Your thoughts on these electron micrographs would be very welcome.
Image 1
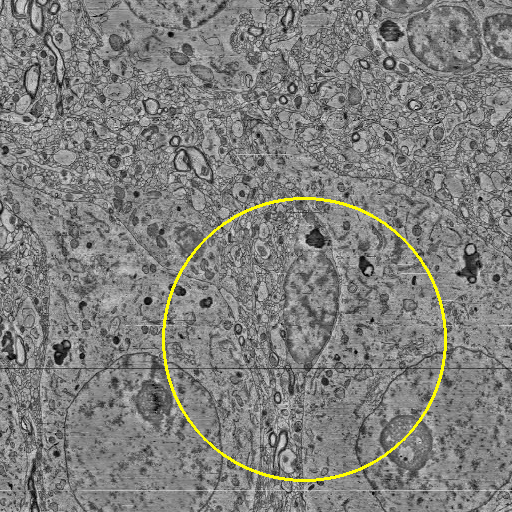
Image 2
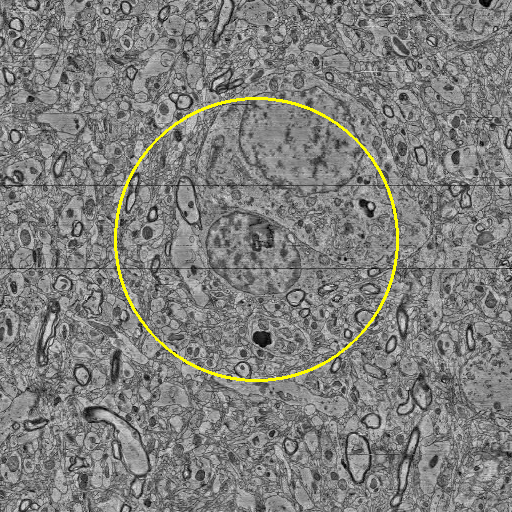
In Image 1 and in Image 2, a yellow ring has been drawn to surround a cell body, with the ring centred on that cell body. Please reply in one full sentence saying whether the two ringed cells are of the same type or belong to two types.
The ringed cells in Image 1 and Image 2 are of the same type.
